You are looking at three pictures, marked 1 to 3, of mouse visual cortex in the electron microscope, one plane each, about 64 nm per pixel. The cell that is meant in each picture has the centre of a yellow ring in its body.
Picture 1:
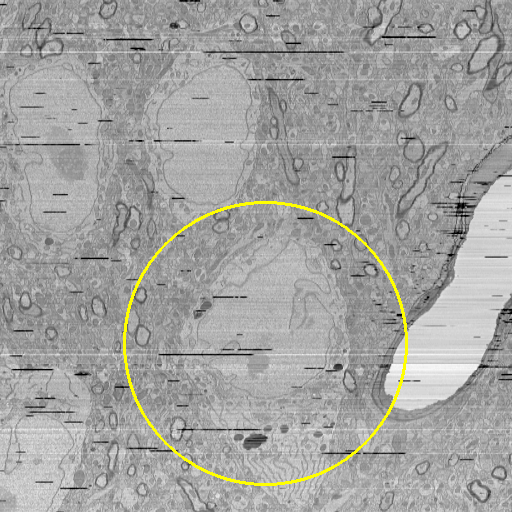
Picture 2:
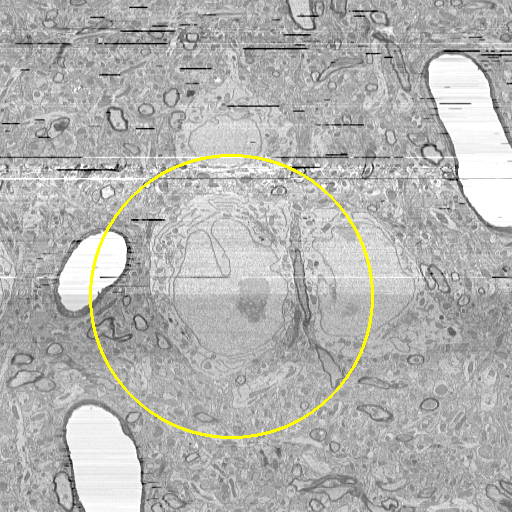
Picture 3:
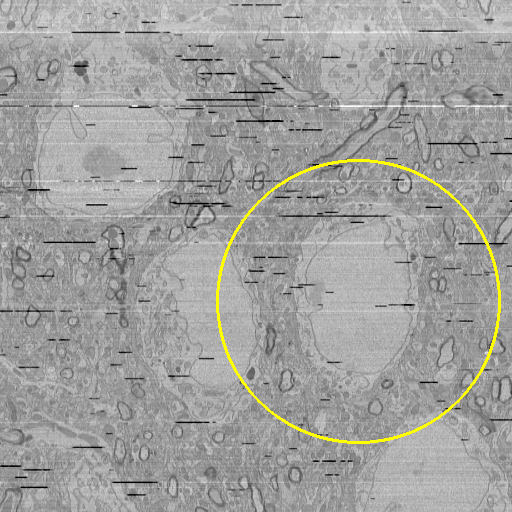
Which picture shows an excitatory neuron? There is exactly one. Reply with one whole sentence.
The cell in picture 3 is the excitatory neuron.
